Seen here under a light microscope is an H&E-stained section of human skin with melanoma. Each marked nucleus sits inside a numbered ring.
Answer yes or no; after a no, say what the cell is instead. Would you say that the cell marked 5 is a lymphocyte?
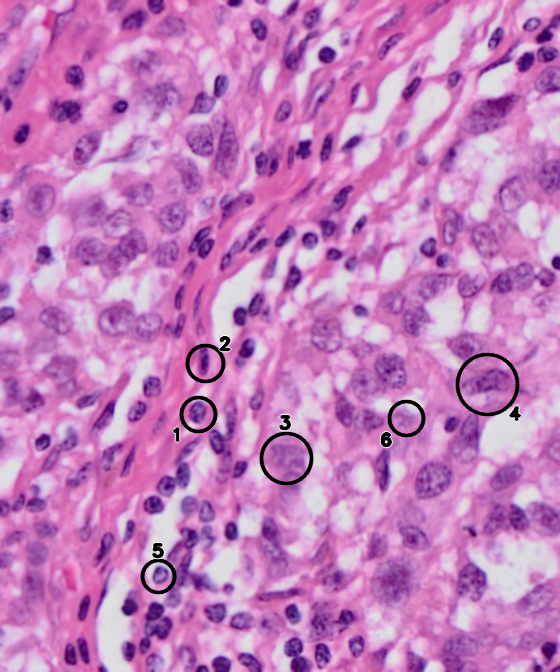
Yes.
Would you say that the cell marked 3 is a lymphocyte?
No, it is a melanoma cell.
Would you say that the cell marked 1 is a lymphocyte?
Yes.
